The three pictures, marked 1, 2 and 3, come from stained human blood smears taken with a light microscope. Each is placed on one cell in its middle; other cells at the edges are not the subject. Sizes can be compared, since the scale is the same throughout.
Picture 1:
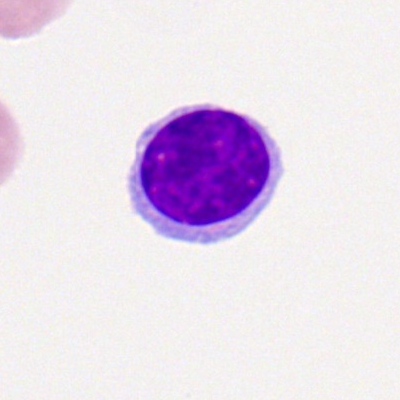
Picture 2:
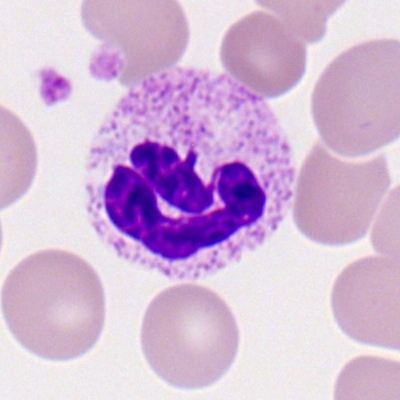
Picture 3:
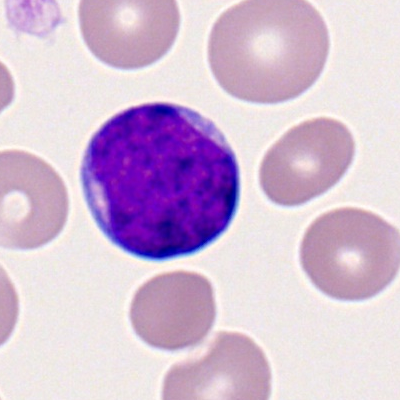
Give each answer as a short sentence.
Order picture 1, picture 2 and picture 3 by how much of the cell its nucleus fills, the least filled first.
The least filled comes first: 2, 1, 3.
